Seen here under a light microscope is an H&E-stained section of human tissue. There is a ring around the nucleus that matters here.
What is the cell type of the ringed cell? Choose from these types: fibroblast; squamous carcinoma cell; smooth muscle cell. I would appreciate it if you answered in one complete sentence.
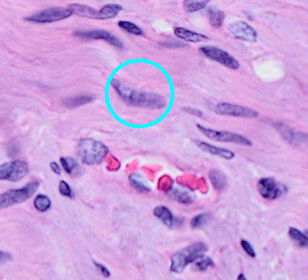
The identity of the ringed cell is that of a fibroblast.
